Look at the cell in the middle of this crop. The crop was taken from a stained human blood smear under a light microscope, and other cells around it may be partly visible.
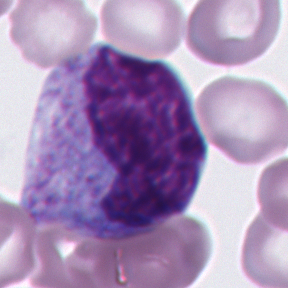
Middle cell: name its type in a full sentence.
For this crop, the central cell is a promyelocyte.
